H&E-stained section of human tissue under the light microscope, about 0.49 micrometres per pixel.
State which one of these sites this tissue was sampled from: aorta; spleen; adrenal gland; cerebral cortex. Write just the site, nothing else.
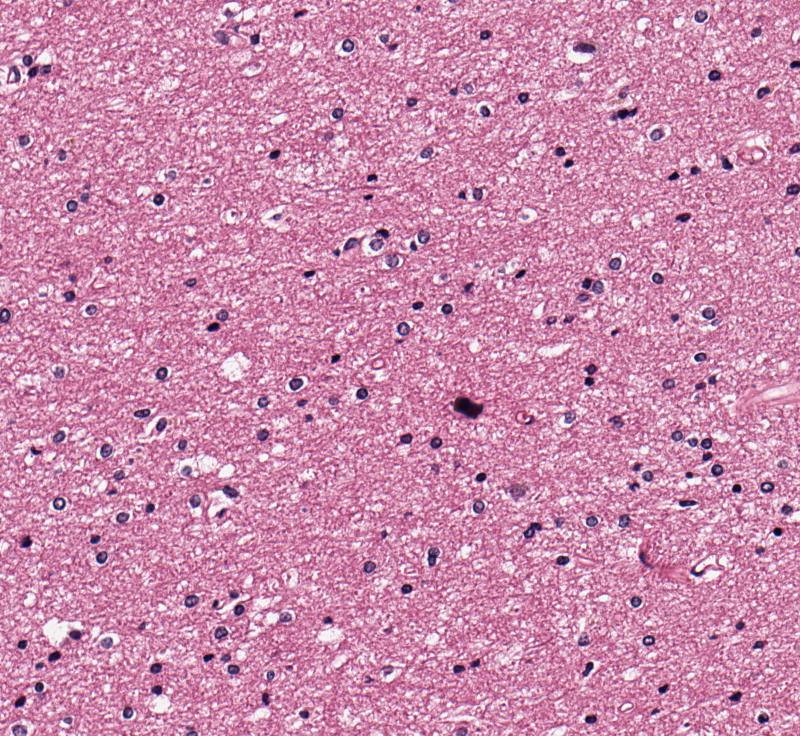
cerebral cortex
